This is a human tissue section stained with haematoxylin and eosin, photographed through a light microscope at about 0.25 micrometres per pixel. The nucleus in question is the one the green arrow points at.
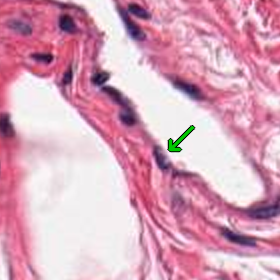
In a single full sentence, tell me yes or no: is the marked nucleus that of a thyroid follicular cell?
No, rather than a thyroid follicular cell, it is a supporting cell that contains the marked nucleus.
